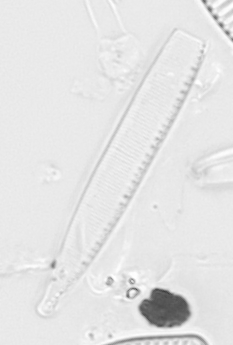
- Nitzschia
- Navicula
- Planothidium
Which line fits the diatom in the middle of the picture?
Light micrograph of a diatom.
Nitzschia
